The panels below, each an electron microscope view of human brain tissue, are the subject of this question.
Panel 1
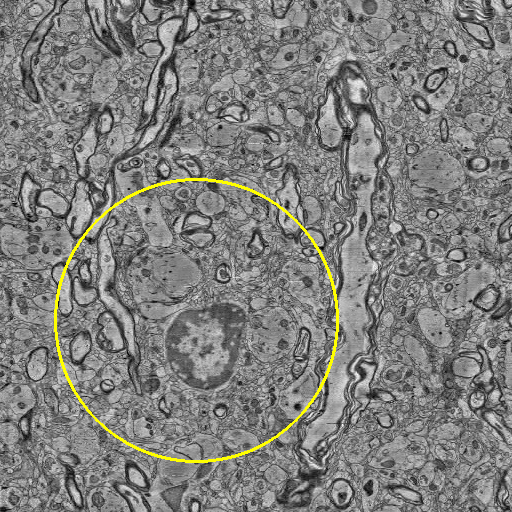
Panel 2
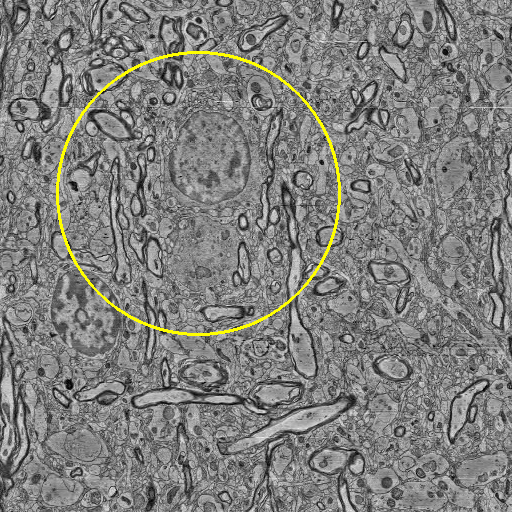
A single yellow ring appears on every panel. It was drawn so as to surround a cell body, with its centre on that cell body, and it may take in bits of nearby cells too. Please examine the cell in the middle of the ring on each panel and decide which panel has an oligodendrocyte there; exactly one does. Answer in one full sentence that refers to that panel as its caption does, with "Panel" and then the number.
Panel 2 is where the ring's central cell answers the question.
